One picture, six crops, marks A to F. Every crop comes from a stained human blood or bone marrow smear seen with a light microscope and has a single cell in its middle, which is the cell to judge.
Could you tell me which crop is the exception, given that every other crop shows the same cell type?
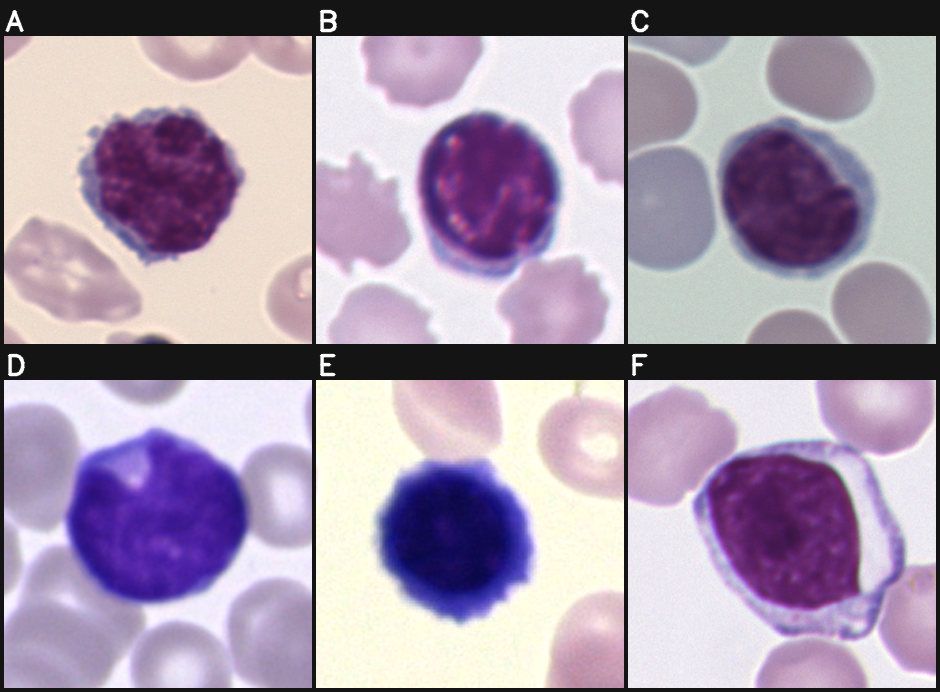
E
